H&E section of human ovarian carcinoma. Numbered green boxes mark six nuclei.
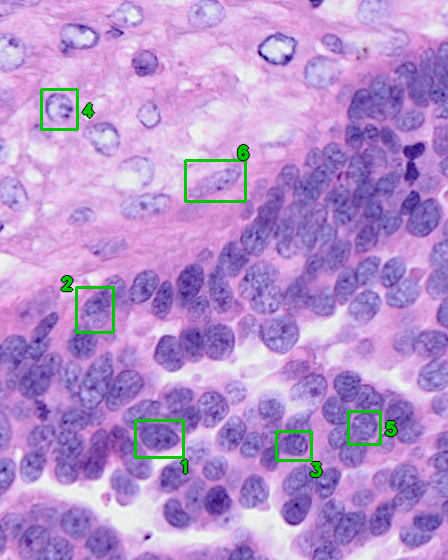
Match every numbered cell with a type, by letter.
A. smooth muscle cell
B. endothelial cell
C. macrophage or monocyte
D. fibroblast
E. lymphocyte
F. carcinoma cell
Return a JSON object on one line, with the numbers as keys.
{"1": "F", "2": "F", "3": "F", "4": "D", "5": "F", "6": "D"}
